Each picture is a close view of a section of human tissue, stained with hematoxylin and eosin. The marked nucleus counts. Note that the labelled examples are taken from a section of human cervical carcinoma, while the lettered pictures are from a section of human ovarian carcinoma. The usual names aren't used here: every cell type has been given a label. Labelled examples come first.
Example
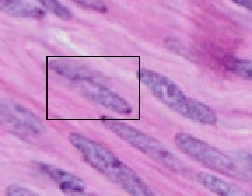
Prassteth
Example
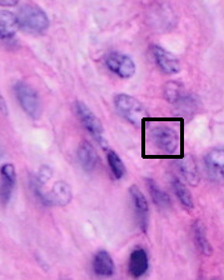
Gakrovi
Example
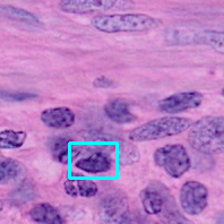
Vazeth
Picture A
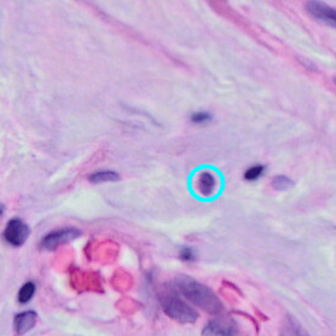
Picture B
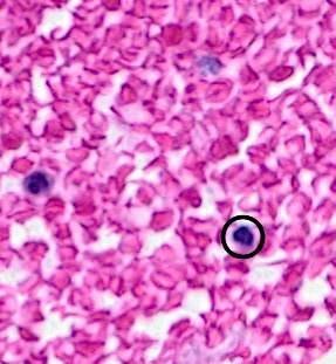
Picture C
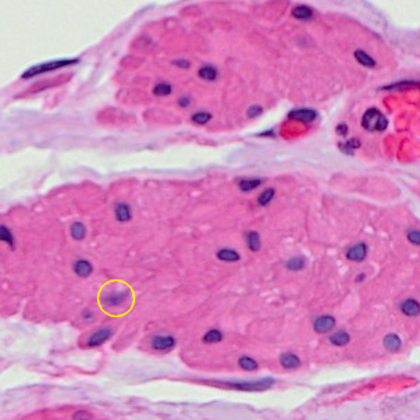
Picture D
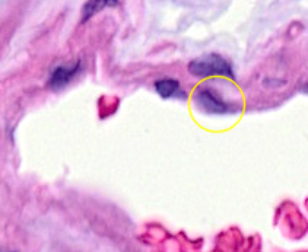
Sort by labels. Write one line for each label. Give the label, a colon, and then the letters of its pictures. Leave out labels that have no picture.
Prassteth: C
Gakrovi: D
Vazeth: A, B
